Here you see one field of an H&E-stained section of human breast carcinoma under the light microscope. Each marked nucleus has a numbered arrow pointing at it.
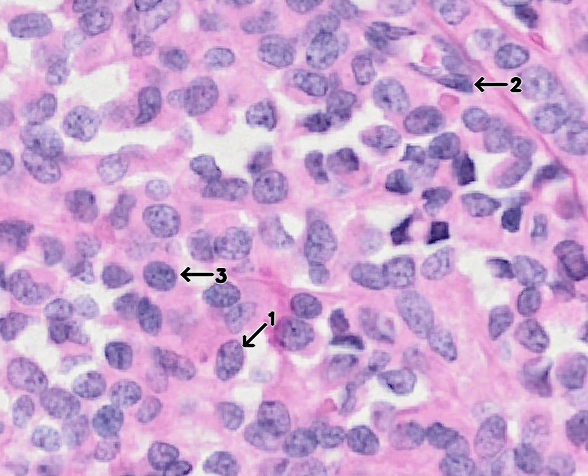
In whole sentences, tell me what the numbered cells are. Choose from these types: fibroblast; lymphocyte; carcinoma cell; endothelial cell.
Cells 1 and 3 are carcinoma cells. Cell 2 is an endothelial cell.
